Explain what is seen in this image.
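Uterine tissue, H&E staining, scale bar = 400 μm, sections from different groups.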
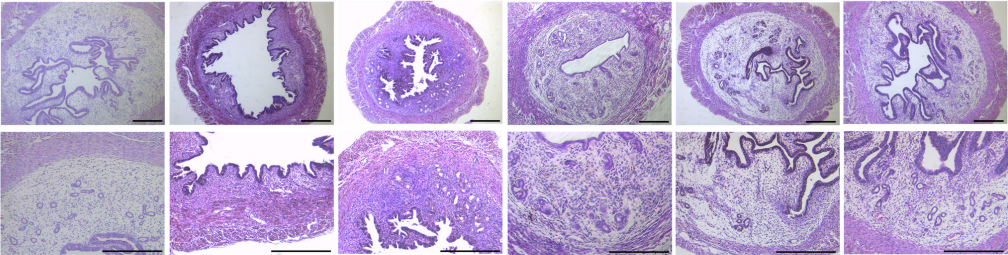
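An outer pink-purple band of smooth muscle forms the wall. The sections differ: some have a wide pale stroma holding many glands and a folded lining. Others have a dilated lumen, a thin inner layer with few or no glands, and a denser, more strongly stained wall.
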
